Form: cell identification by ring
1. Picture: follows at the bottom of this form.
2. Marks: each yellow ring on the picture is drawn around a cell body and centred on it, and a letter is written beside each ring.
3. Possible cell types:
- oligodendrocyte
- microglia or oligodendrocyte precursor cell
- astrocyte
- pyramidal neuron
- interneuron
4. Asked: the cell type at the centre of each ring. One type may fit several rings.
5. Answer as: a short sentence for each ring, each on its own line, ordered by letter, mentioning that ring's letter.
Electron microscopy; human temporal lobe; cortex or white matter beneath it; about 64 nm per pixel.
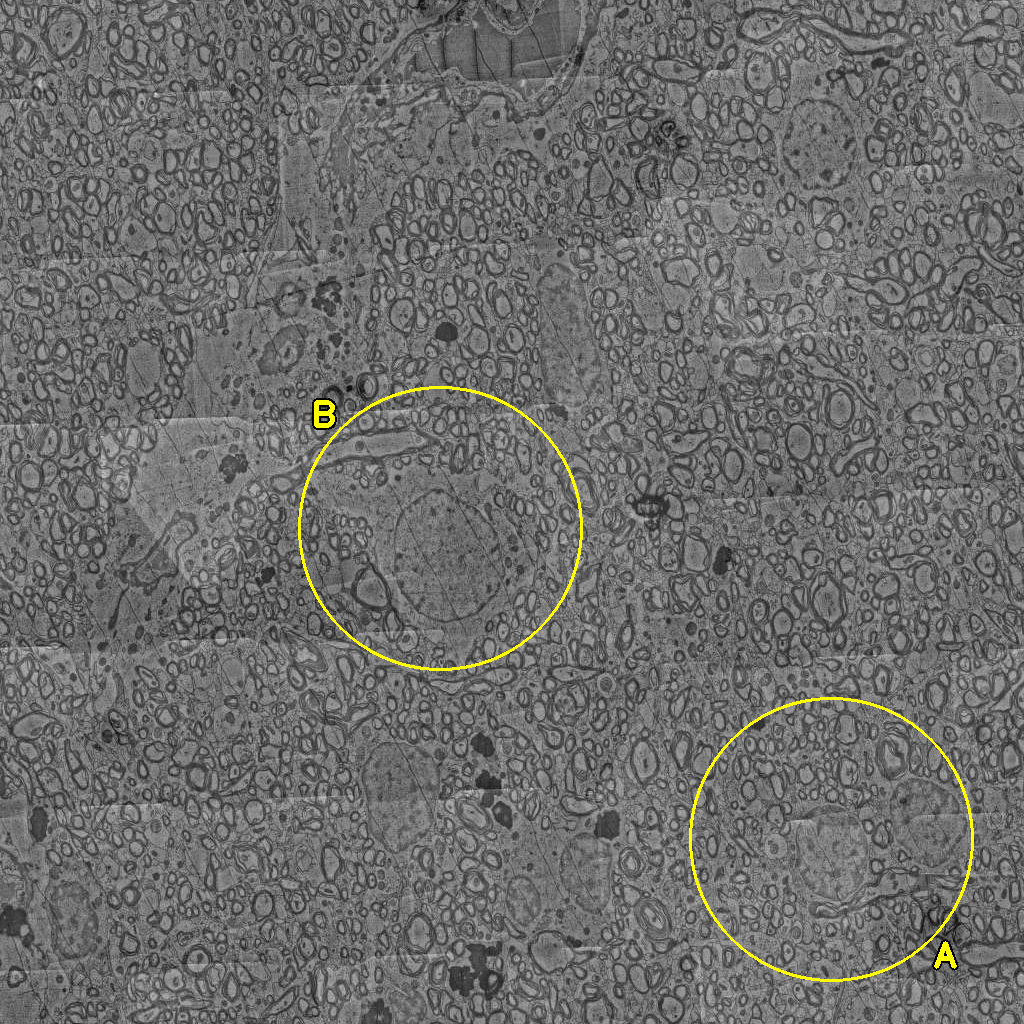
The cell at ring A's centre is an oligodendrocyte.
The cell at ring B's centre is an astrocyte.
